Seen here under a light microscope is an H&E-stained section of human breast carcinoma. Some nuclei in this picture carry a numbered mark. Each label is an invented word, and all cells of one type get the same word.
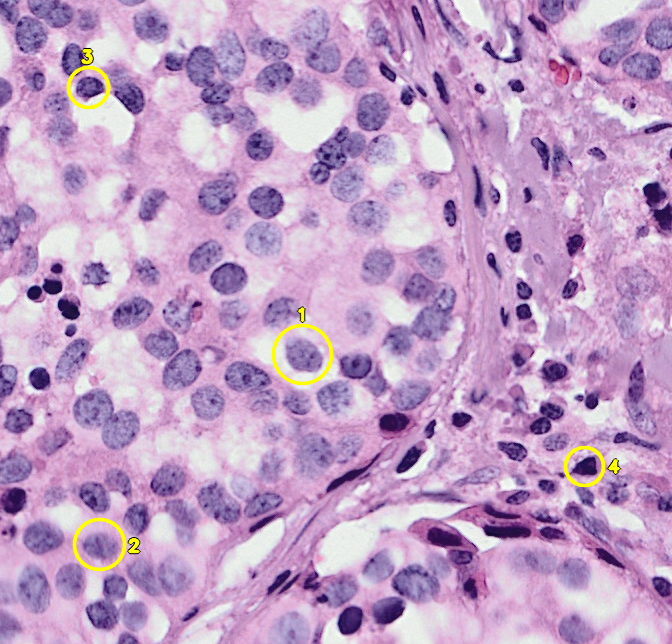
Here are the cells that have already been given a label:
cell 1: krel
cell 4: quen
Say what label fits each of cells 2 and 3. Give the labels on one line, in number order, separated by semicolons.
krel; krel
